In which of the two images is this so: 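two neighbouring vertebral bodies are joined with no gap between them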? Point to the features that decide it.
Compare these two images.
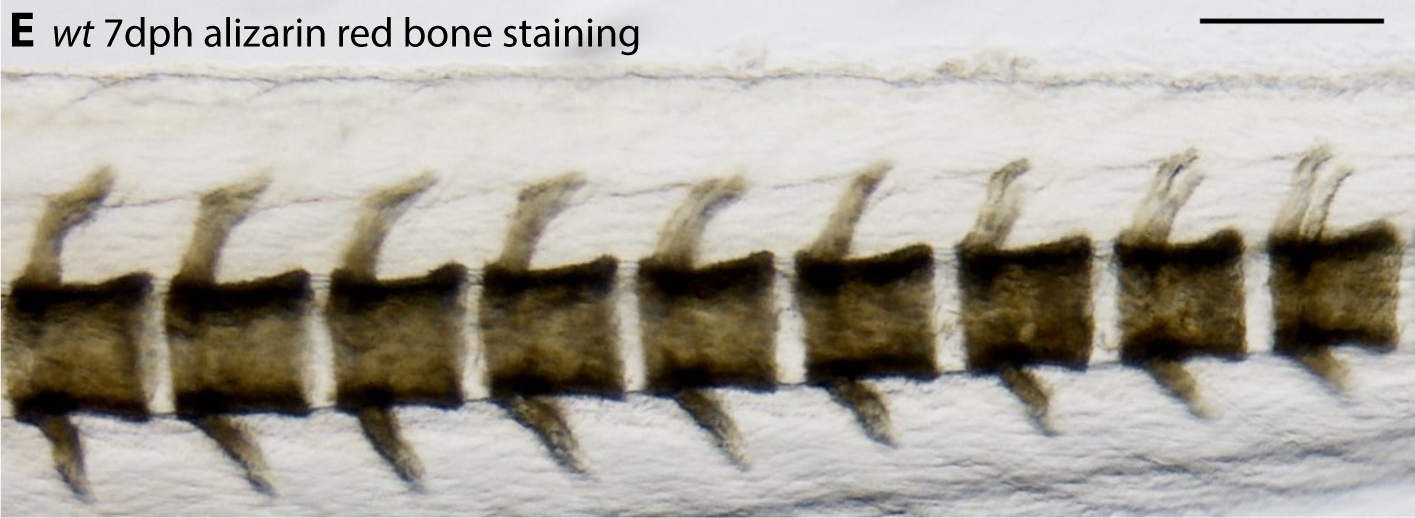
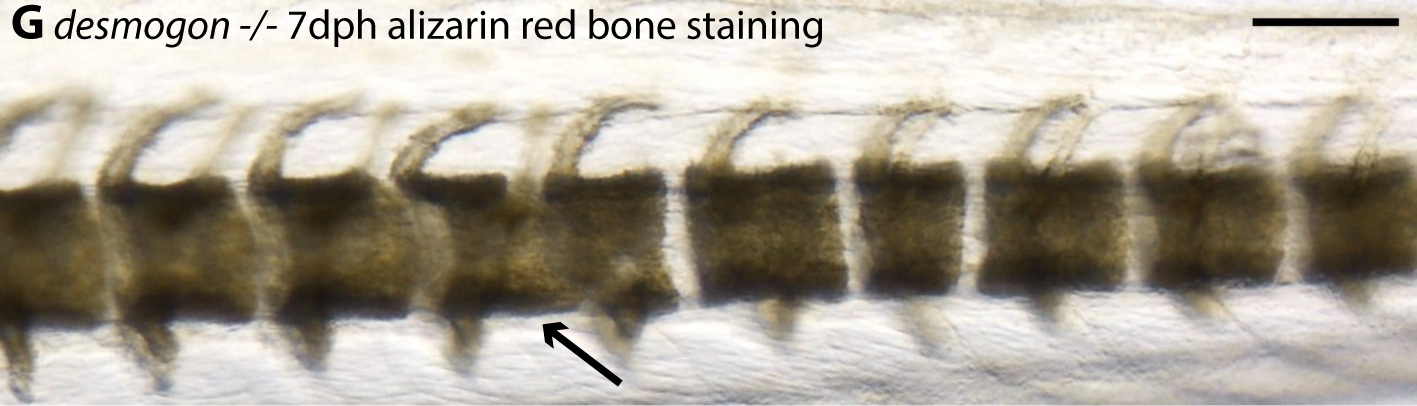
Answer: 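Second image: near the arrow two vertebral bodies run into each other without a gap. First image: every vertebral body is separated from the next by a clear, even gap.
Hence: the second image.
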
